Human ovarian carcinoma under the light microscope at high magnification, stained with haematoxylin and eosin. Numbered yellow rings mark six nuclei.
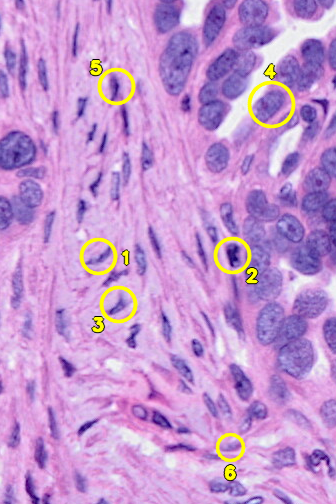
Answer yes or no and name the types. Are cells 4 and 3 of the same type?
No, cell 4 is a carcinoma cell, and cell 3, in contrast, is a fibroblast.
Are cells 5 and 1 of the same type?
Yes, in terms of cell type, cells 5 and 1 are both fibroblasts.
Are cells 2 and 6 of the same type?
No, as to type, cell 2 is a lymphocyte, and cell 6 is a fibroblast.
